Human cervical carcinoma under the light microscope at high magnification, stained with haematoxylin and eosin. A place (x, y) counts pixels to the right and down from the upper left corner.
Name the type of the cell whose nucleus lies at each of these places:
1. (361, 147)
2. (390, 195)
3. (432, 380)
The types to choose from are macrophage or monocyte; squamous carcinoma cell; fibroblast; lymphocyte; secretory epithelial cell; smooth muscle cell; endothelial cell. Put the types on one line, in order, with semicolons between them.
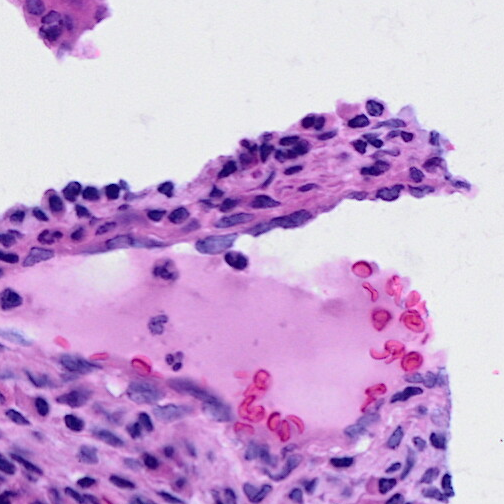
lymphocyte; endothelial cell; endothelial cell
